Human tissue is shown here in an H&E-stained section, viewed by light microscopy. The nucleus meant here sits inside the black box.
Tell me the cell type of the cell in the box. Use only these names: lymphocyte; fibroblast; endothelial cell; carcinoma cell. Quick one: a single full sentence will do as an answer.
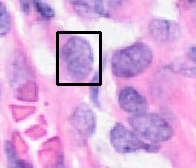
In the tissue at hand, the cell in the box is a carcinoma cell.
